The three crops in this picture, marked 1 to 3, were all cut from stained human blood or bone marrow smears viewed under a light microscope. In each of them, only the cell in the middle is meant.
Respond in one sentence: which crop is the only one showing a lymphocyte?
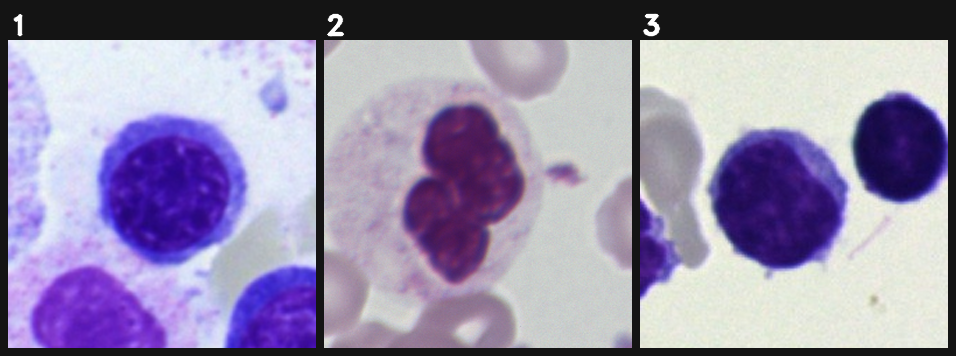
Selected crop: 3, which is the one that shows a lymphocyte.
